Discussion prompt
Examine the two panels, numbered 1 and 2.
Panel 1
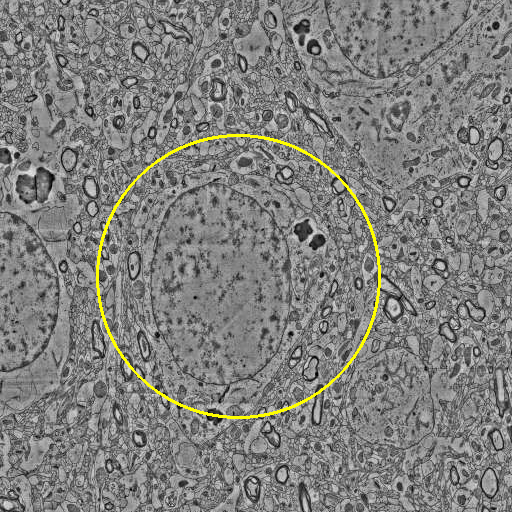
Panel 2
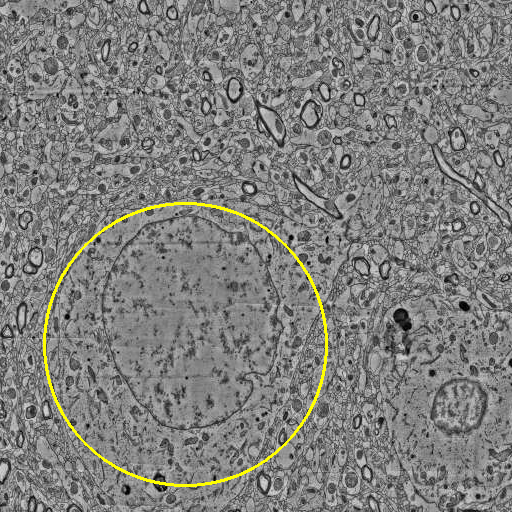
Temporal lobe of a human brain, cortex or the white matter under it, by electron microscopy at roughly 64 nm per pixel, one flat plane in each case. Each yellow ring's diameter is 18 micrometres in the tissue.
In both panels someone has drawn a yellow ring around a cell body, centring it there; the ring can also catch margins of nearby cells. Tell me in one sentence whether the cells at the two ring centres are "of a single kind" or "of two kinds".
Taken together, the two cells centred in the rings of Panels 1 and 2 are of a single kind.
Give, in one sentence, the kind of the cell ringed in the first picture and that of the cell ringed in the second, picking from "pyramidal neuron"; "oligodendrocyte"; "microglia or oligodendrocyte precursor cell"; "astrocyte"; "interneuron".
Both cells are the same kind, each one being a pyramidal neuron.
